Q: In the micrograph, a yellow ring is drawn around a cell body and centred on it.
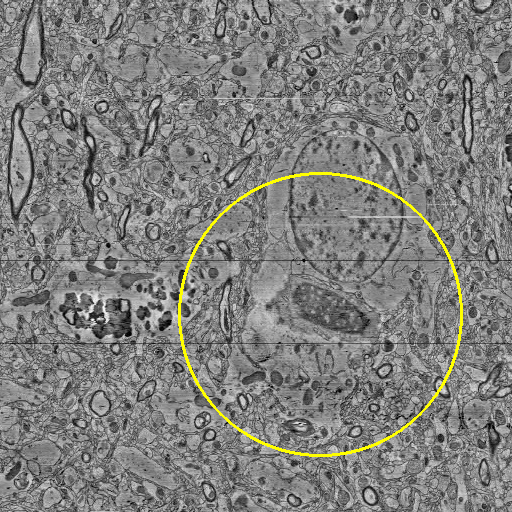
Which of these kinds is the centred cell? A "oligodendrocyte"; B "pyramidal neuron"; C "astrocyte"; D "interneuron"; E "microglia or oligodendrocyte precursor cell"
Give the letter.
A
